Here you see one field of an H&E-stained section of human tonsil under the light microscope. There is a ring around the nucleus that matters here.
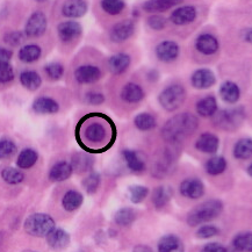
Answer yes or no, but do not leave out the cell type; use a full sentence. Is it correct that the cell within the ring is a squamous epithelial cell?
No, it is a plasma cell, not a squamous epithelial cell, that the cell within the ring represents.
